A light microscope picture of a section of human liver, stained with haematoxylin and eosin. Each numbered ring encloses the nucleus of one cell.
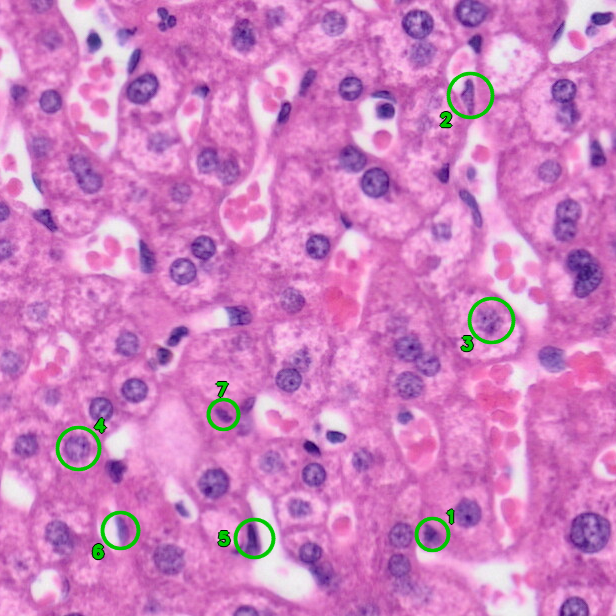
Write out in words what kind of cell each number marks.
Cells 1 and 7 are fibroblasts or stellate cells. Cells 2 and 5 are Kupffer cells. Cells 3 and 4 are hepatocytes. Cell 6 is an endothelial cell.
